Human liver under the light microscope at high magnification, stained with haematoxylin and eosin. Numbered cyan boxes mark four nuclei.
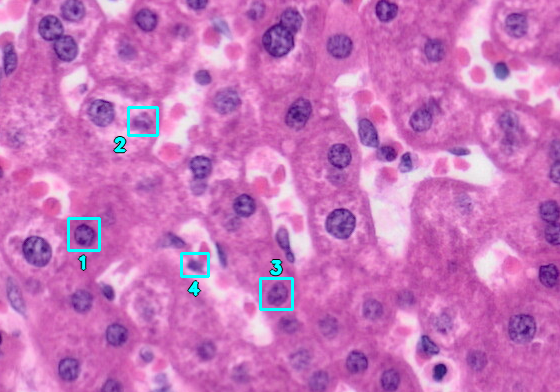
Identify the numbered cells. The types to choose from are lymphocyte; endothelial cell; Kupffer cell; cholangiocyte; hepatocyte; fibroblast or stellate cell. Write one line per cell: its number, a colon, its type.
1: hepatocyte
2: hepatocyte
3: hepatocyte
4: lymphocyte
